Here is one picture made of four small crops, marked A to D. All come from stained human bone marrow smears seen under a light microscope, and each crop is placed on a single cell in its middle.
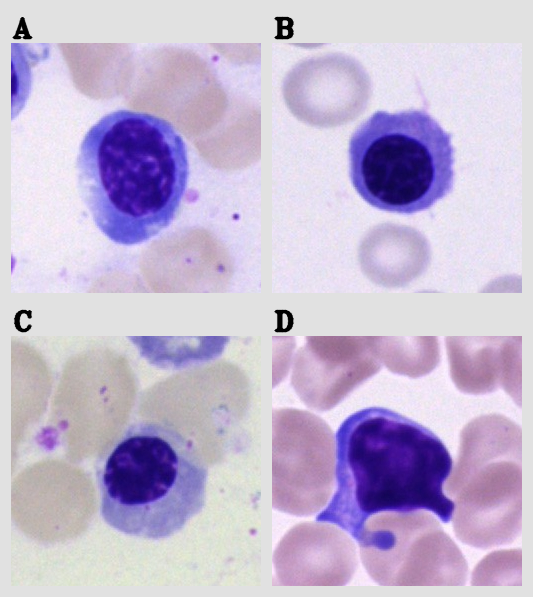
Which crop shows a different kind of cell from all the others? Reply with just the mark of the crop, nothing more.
D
